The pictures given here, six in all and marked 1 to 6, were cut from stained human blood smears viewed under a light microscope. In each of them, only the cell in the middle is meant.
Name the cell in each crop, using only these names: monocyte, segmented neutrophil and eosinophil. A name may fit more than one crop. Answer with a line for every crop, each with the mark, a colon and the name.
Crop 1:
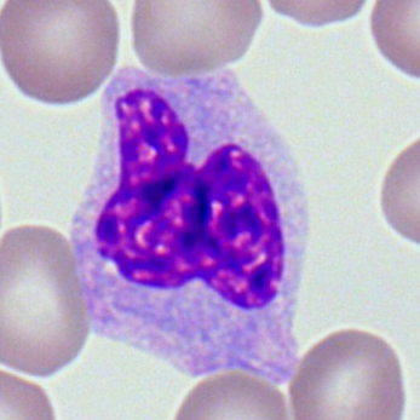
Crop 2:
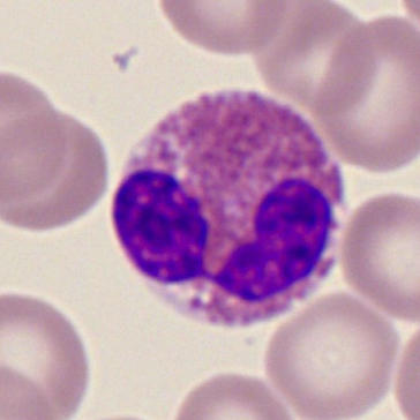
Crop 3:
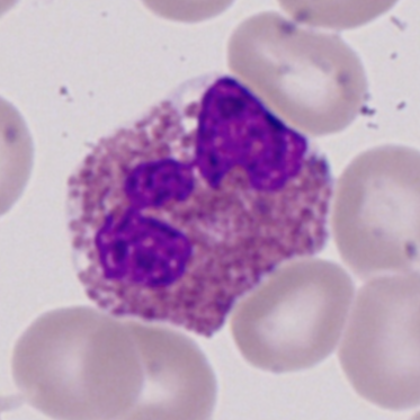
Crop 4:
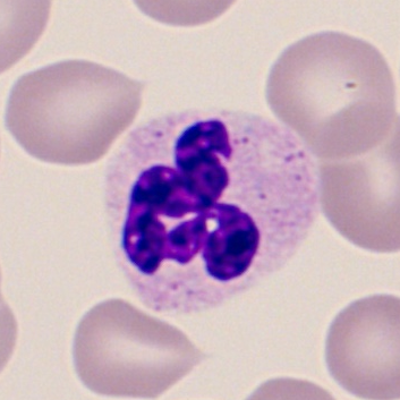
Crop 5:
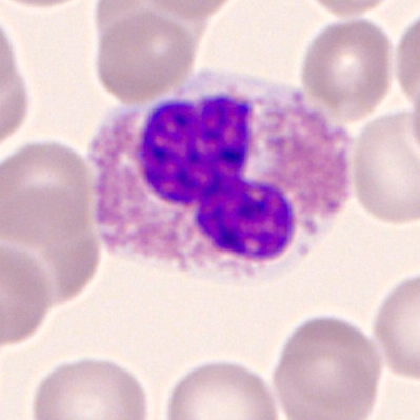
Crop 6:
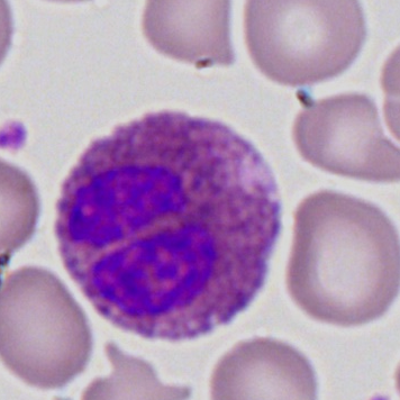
1: monocyte
2: eosinophil
3: eosinophil
4: segmented neutrophil
5: eosinophil
6: eosinophil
